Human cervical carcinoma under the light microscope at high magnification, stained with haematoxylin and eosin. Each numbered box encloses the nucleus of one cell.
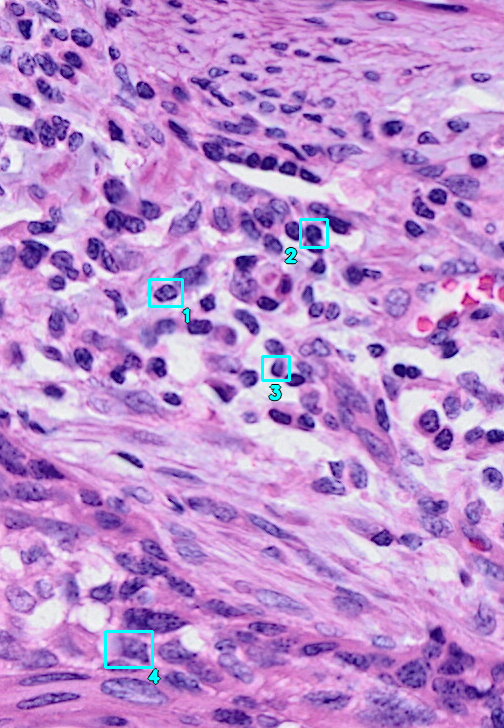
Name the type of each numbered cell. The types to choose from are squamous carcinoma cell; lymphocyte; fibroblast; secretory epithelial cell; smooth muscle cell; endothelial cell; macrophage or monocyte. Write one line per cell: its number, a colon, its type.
1: lymphocyte
2: lymphocyte
3: lymphocyte
4: squamous carcinoma cell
